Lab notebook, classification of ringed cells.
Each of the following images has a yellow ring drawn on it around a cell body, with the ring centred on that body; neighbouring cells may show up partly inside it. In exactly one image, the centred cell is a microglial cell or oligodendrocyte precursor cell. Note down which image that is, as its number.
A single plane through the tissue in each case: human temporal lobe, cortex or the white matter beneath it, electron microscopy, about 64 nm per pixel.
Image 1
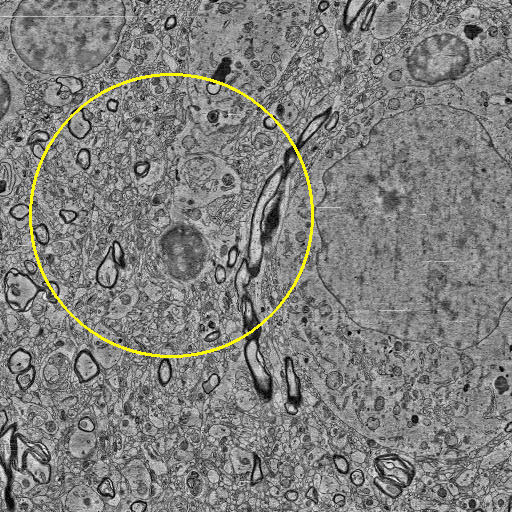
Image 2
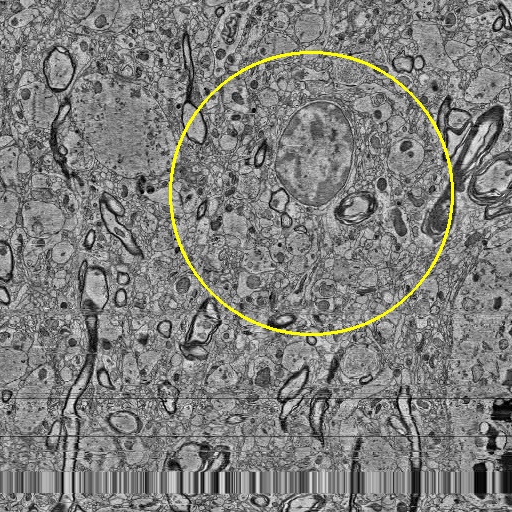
2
